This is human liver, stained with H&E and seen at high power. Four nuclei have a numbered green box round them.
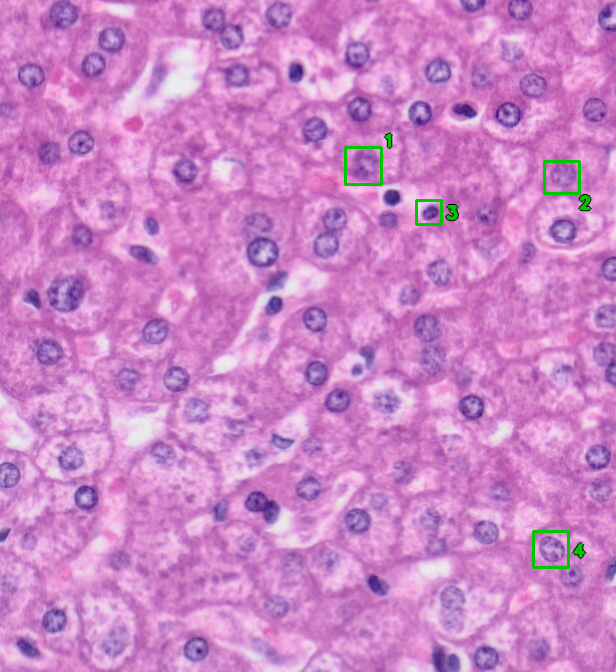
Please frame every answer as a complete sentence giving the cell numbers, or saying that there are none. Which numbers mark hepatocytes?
The identity of cells 1, 2 and 4: they are hepatocytes.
